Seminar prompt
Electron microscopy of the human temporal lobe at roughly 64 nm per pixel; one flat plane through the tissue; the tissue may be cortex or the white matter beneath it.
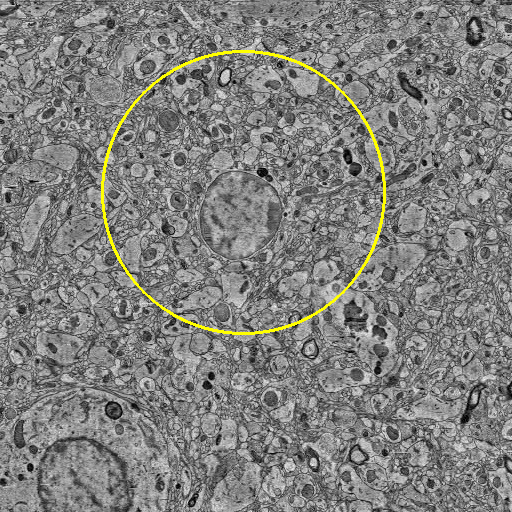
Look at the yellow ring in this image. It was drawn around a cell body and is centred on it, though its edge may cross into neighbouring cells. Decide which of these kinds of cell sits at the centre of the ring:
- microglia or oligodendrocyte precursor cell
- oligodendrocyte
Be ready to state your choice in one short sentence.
The kind of cell at the ring's centre is a microglial cell or oligodendrocyte precursor cell.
